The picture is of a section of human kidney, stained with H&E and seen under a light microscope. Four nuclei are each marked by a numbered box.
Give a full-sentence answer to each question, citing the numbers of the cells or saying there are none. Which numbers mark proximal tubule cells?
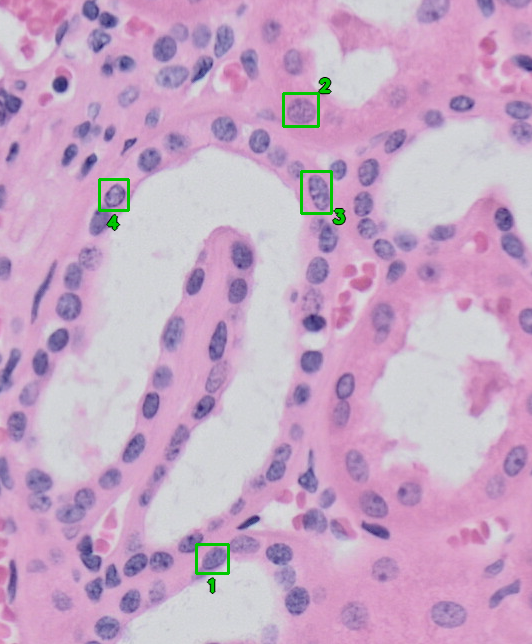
As for the numbered cells, only cell 2 is a proximal tubule cell.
